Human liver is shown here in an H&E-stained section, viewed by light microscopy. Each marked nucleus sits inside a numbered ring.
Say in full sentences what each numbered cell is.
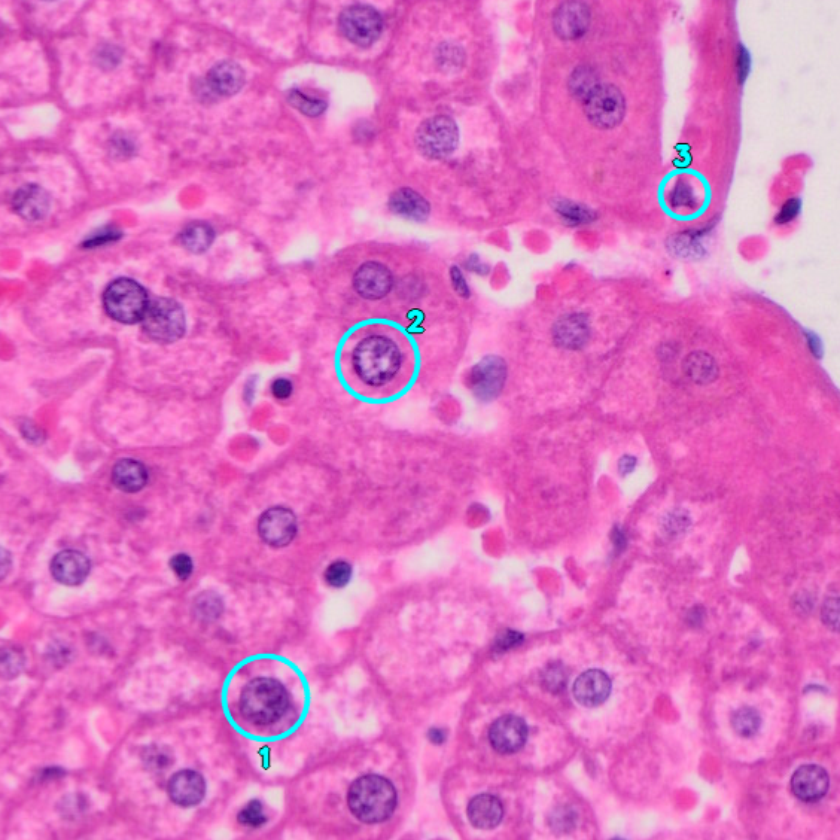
Cells 1 and 2 are hepatocytes. Cell 3 is a fibroblast or stellate cell.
